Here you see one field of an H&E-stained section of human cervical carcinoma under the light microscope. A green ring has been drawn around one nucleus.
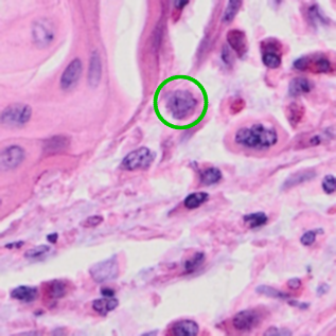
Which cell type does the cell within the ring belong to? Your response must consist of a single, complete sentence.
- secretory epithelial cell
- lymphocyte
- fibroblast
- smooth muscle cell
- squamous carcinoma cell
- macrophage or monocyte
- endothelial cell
By its classification, the cell within the ring is a macrophage or monocyte.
